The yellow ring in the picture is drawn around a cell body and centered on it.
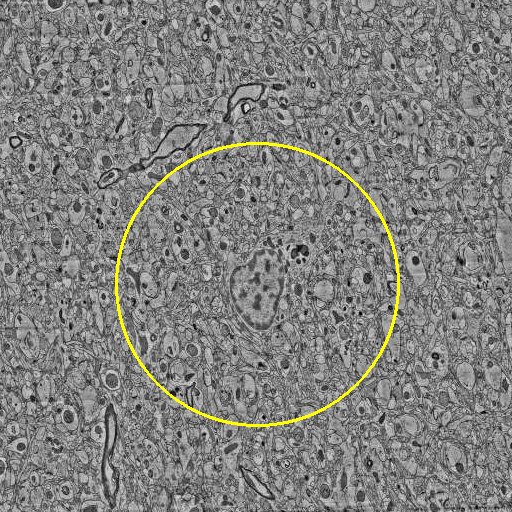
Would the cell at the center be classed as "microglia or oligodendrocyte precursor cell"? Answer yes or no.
Yes, it belongs to that class.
